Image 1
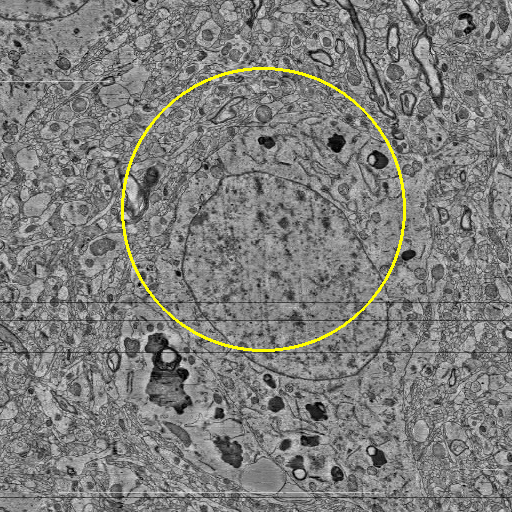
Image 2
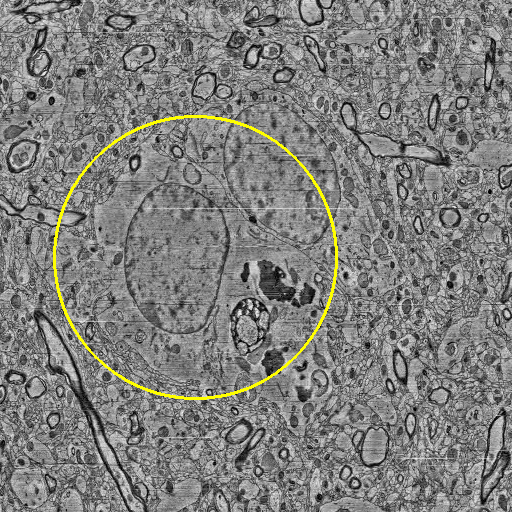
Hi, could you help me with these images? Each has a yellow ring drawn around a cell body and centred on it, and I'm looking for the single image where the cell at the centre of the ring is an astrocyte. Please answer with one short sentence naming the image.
It is Image 2 that has it at the centre of its ring.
